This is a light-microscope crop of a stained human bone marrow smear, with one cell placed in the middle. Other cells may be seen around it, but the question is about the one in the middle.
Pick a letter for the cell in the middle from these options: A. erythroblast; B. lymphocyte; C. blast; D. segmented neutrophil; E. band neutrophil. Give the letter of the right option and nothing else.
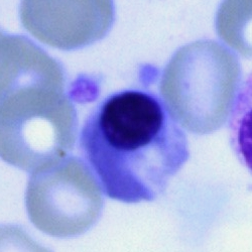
A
